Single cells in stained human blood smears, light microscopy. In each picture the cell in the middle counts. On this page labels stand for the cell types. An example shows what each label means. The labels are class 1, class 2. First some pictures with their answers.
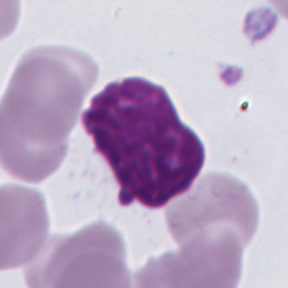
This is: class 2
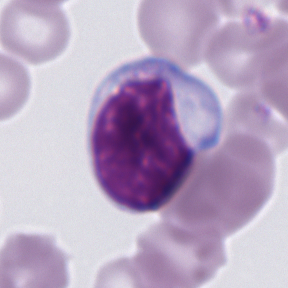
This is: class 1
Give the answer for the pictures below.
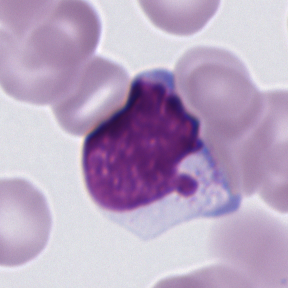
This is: class 1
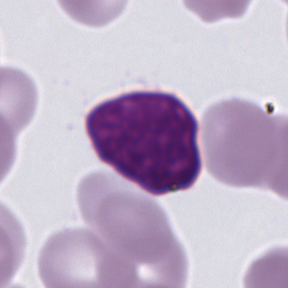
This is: class 2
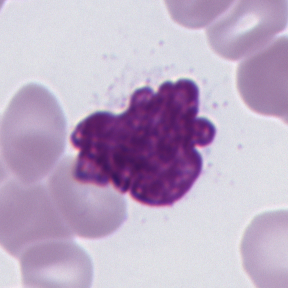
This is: class 2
